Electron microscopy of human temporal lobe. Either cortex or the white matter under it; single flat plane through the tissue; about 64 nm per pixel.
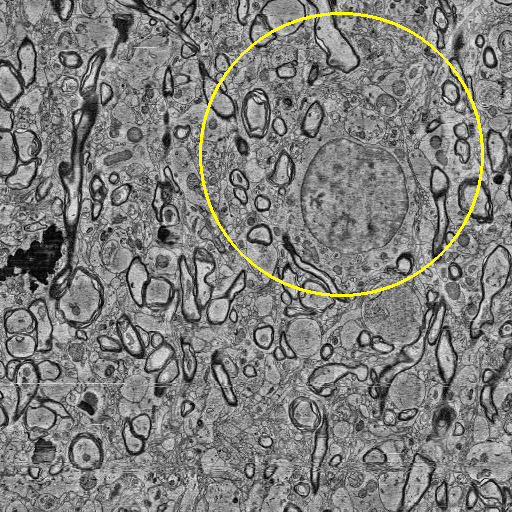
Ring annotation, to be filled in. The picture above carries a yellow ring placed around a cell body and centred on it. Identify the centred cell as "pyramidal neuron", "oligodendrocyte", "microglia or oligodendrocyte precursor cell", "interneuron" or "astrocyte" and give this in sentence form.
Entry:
The cell in the middle of the ring is an oligodendrocyte.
